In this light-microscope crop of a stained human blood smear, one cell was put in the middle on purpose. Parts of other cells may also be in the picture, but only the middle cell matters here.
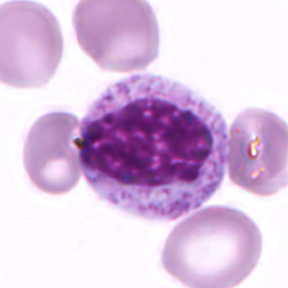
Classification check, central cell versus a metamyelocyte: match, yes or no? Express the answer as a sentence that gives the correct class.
Yes, as for the central cell, it is a metamyelocyte.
